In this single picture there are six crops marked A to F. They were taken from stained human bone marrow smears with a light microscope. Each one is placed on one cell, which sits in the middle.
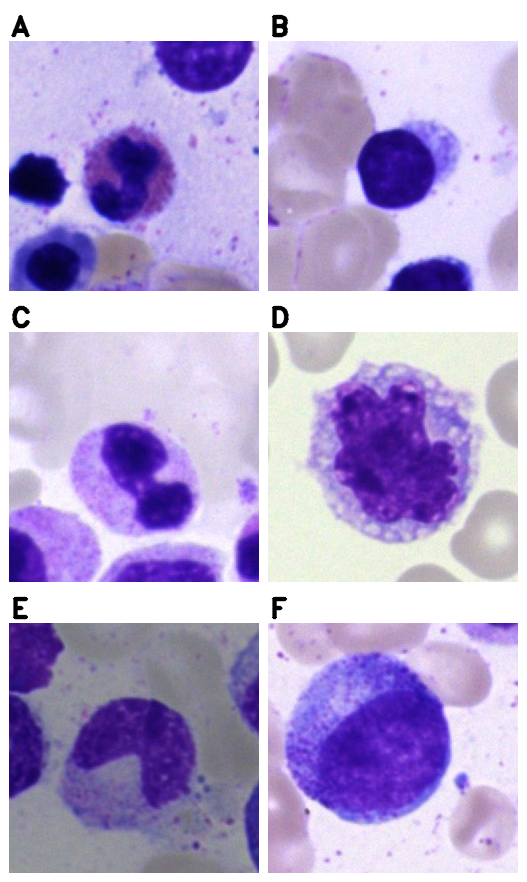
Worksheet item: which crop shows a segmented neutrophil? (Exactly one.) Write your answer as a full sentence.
Crop C is the crop in which a segmented neutrophil is shown.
